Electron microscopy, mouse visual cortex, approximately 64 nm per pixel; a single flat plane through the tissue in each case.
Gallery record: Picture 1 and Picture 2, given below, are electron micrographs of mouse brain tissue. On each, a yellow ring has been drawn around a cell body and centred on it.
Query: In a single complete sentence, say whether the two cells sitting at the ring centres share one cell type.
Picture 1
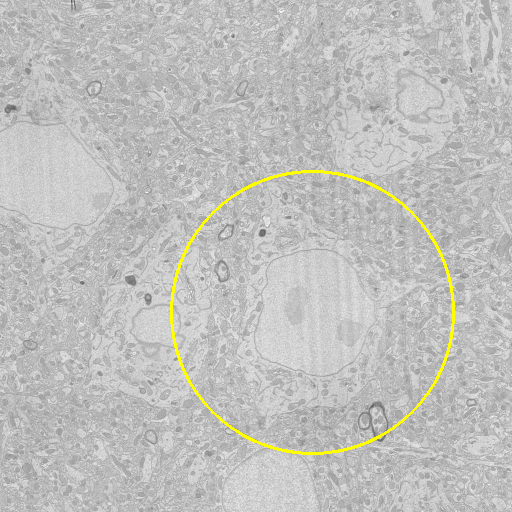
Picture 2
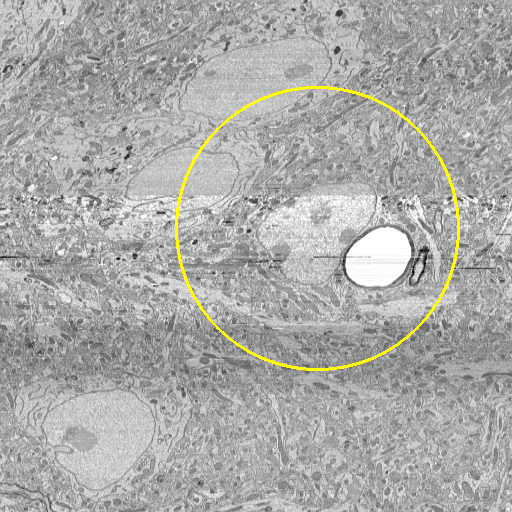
No, in the two pictures the cells at the rings' centres are of two separate types.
